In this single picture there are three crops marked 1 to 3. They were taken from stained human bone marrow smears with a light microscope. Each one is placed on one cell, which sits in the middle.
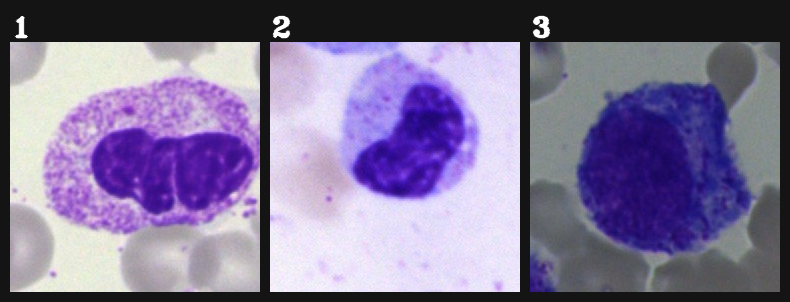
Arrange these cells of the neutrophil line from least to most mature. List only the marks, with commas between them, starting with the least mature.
3, 2, 1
